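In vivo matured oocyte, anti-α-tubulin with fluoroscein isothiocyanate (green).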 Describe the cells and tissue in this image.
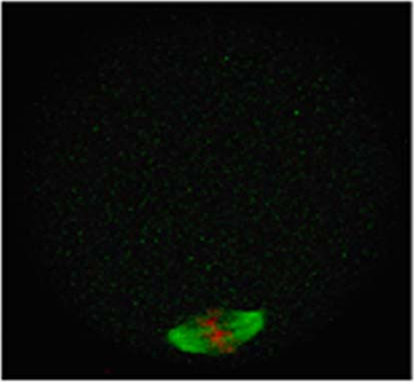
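The spindle is a compact, spindle-shaped body with tapered ends lying at the very edge of the large round cell, near the cortex. The red chromosomes form a band across the middle of the spindle, at its equator. The rest of the cytoplasm is dark with only a faint fine green speckling that hints at the outline of the cell.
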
